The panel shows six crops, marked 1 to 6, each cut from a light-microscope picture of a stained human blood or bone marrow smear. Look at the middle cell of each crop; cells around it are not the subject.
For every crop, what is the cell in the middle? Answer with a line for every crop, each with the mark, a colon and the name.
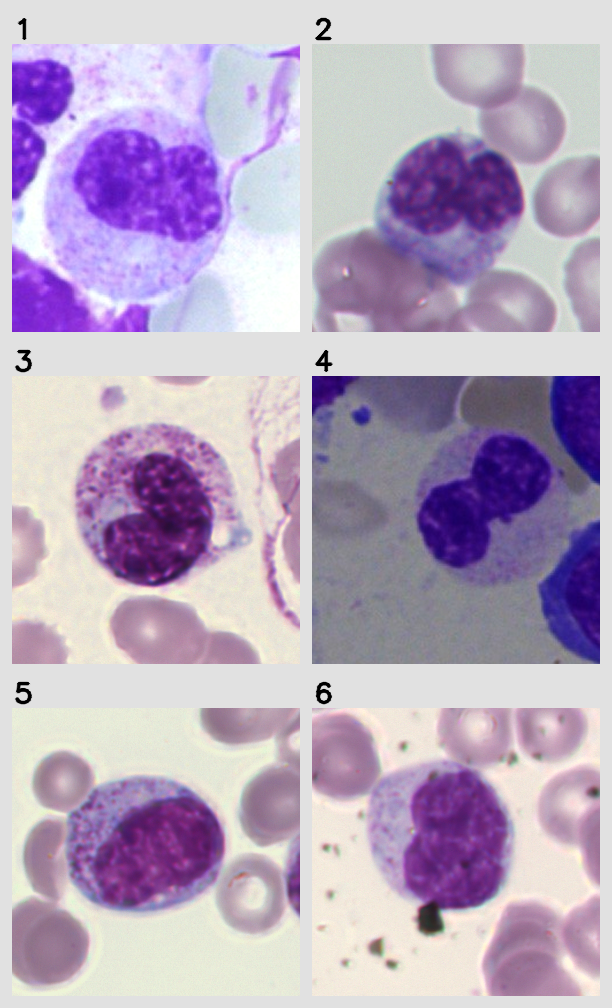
1: band neutrophil
2: monocyte
3: metamyelocyte
4: band neutrophil
5: metamyelocyte
6: metamyelocyte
